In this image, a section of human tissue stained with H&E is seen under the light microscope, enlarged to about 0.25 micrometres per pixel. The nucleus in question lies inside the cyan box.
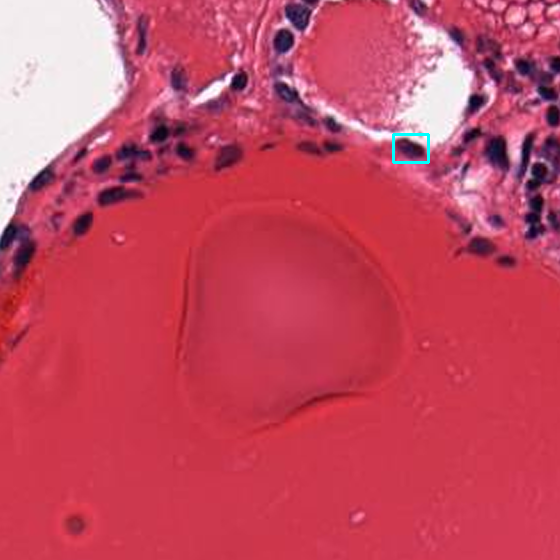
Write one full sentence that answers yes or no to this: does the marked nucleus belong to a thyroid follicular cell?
Yes, belonging to a thyroid follicular cell is the marked nucleus.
